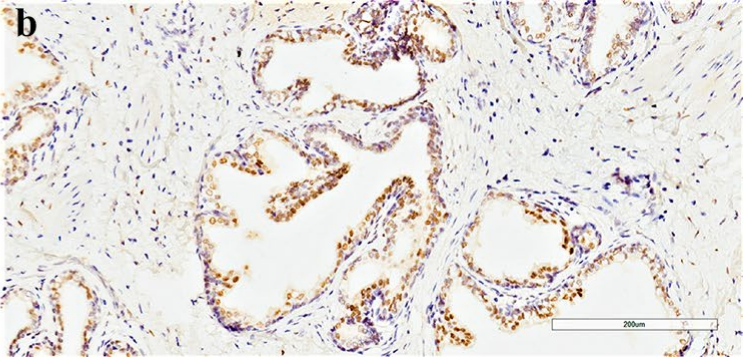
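Glandular epithelium lines several glands with wide, irregular lumens and infolded borders, set in a loose stroma. The cytoplasm of these cells is pale. In the stroma, scattered spindle-shaped and oval nuclei are mostly blue, with occasional brown ones. The lumens are empty and white, and the stroma between glands is pale with fine fibres.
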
